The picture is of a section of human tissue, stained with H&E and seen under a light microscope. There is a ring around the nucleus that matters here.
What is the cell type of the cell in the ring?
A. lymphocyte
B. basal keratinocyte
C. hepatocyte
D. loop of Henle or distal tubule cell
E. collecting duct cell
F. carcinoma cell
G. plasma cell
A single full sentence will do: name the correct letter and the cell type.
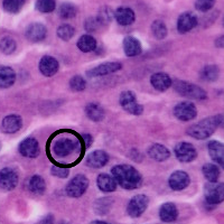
Given that the cell in the ring is a plasma cell, option G is the correct one.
